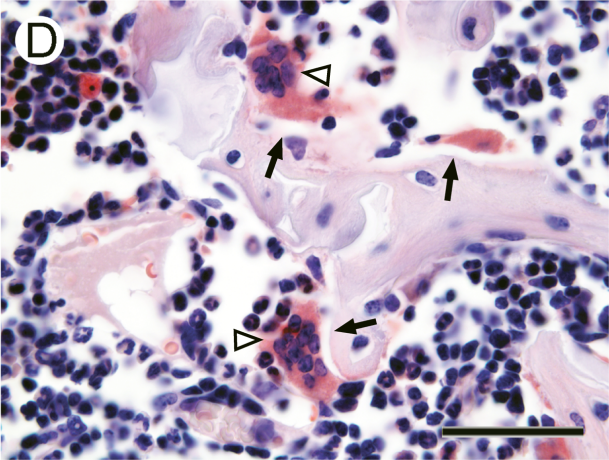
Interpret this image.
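This is bone with marrow at high magnification, with large red-stained osteoclasts lying at the edges of pale pink bone. The marrow between the bone pieces is filled with many small round cells with dark blue nuclei. The osteoclasts are far larger than the marrow cells, with red cytoplasm and tight clusters of many nuclei. Several of them are not pressed flat against the bone, and a pale gap can be seen between the cell and the bone surface. The bone itself appears as pink, irregular pieces with scattered cells inside.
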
